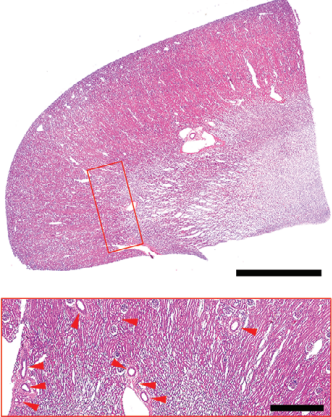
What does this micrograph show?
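This is kidney parenchyma in a low-power section, with a darker pink outer cortex and a paler, radially striated inner region. The magnified view shows densely packed tubules running in parallel, with scattered small vessels cut in cross-section whose lumina are open and empty.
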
